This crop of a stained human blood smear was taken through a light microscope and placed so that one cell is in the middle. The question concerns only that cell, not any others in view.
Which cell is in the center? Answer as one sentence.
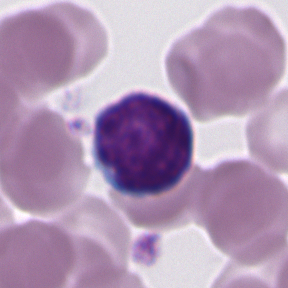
Here the cell in the middle is a typical lymphocyte.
